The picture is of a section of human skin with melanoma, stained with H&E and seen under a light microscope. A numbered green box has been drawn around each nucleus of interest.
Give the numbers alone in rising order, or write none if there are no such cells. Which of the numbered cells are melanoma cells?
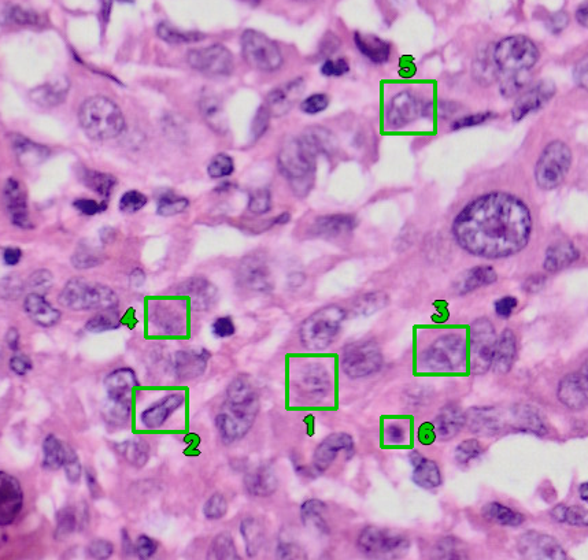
1, 3, 4, 5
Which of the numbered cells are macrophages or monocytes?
2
